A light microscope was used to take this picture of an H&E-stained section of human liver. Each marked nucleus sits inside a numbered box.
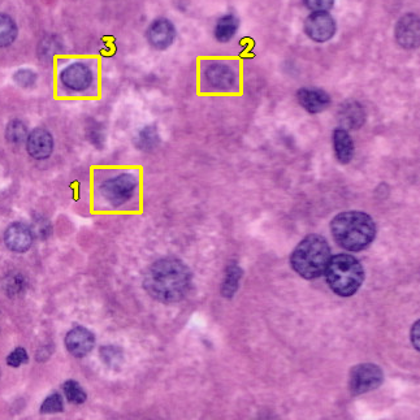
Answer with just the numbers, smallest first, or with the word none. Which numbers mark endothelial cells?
1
